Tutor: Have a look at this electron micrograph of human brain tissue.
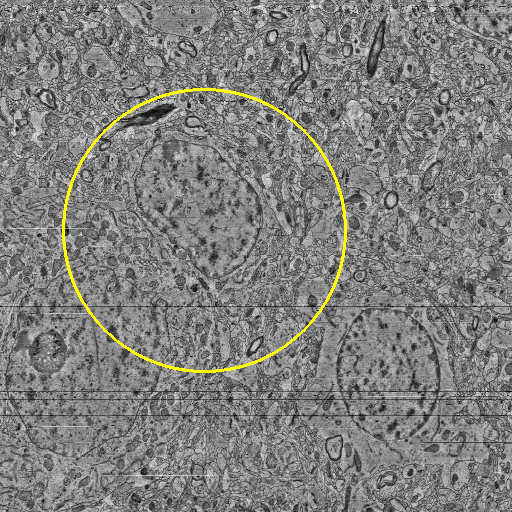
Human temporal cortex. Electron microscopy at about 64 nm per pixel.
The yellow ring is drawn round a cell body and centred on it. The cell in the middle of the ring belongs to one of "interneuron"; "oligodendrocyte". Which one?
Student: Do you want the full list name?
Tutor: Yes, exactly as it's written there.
interneuron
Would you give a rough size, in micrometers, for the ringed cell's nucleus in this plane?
The nucleus measures about 10 by 7 micrometres in this plane.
